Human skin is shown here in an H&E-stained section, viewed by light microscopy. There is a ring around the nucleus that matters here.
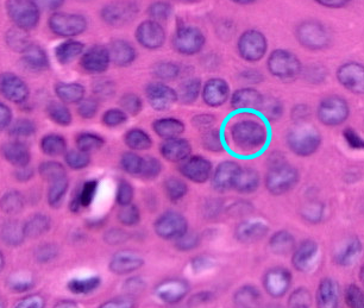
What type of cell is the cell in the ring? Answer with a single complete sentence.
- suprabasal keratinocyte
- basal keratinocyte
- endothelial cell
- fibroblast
In this field of tissue, the cell in the ring is a suprabasal keratinocyte.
